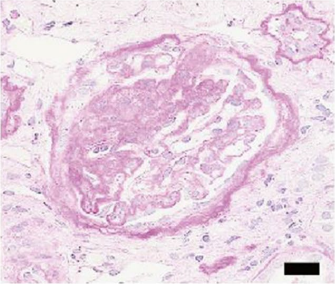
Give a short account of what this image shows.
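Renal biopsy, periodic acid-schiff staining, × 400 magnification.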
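This is a single glomerulus in kidney cortex, stained pink-magenta, surrounded by Bowman's capsule with a thin urinary space. Part of the tuft is occupied by a dense, glassy, homogeneous pink matrix in which the capillary loops are obliterated and few nuclei are seen. The rest of the tuft still shows finer, open capillary loops. Around the capsule lie tubules and interstitium with scattered nuclei. This is the picture of segmental sclerosis affecting only part of the glomerulus.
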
